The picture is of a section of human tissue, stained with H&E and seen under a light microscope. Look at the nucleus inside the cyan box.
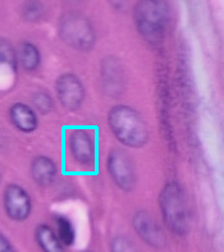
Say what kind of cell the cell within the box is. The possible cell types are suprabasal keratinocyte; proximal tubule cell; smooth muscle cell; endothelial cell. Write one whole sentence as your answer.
The cell meant here is a suprabasal keratinocyte.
